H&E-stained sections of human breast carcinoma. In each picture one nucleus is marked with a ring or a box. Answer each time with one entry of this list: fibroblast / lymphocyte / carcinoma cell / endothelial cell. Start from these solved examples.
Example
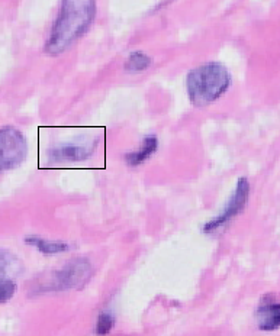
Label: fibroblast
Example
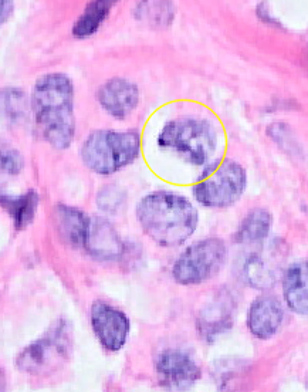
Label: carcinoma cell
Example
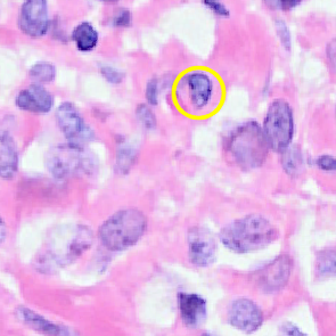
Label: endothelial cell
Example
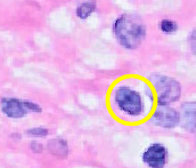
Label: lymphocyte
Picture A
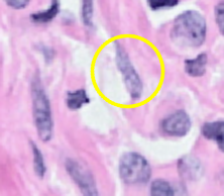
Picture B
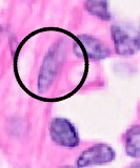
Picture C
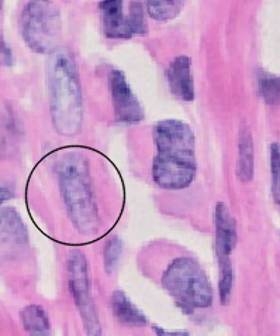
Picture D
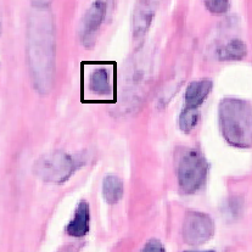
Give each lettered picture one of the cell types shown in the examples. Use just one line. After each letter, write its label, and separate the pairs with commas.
A fibroblast, B endothelial cell, C endothelial cell, D lymphocyte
